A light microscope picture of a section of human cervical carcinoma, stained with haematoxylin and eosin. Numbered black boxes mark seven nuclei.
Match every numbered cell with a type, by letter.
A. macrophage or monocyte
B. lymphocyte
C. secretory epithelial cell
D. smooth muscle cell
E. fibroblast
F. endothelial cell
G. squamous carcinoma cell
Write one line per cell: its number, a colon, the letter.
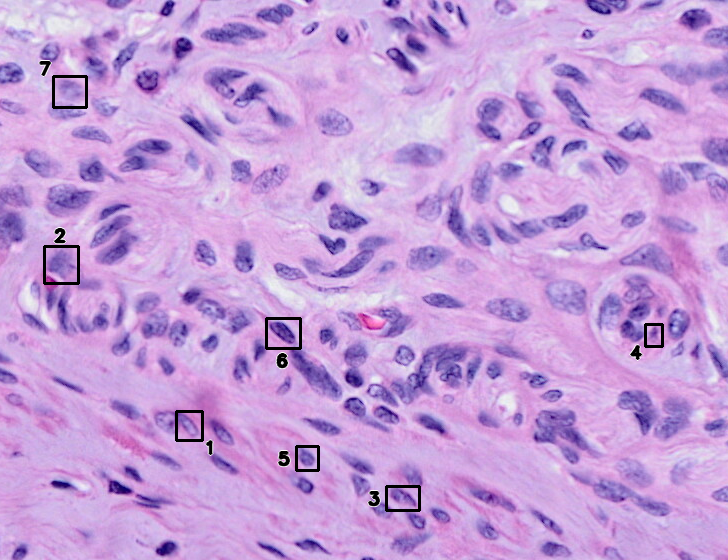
1: D
2: F
3: D
4: F
5: D
6: B
7: F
